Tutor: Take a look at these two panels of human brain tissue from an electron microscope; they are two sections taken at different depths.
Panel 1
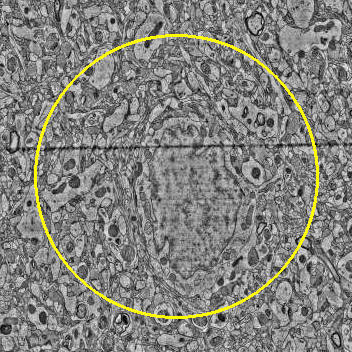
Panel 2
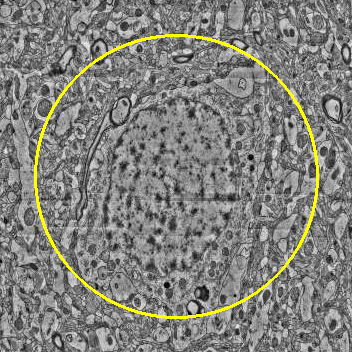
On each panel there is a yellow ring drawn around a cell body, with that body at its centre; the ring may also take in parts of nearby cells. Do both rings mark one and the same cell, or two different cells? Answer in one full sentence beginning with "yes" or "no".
No, the two yellow rings surround two different cells.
